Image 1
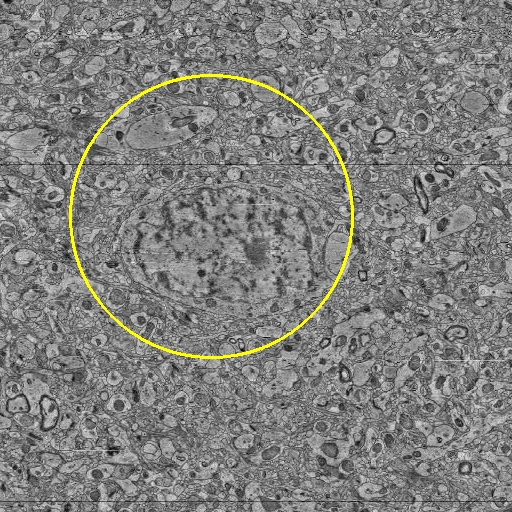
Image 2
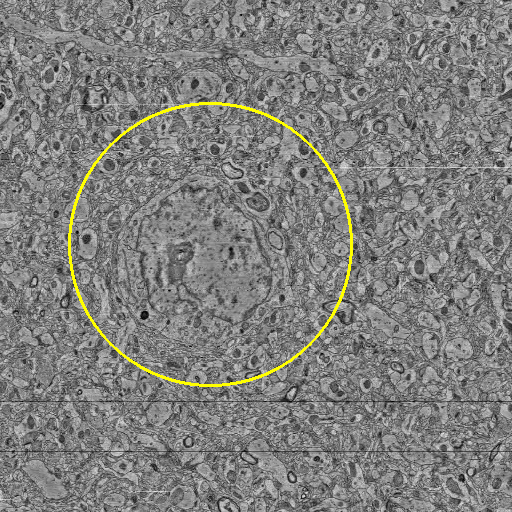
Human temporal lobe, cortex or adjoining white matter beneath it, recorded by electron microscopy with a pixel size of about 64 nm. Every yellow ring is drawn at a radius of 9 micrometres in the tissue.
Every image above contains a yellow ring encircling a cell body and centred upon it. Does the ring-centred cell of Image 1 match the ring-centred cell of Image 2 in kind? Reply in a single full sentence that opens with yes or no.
Yes, the cell at the ring's centre in Image 1 is the same kind as that in Image 2.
